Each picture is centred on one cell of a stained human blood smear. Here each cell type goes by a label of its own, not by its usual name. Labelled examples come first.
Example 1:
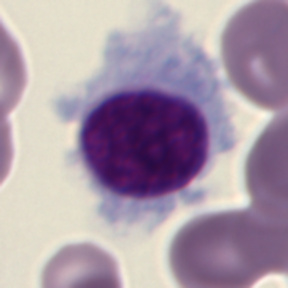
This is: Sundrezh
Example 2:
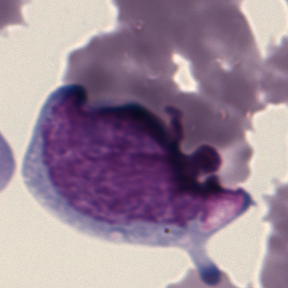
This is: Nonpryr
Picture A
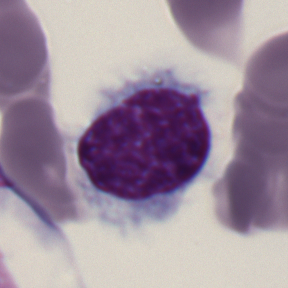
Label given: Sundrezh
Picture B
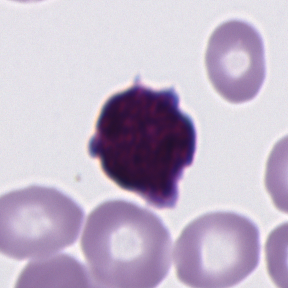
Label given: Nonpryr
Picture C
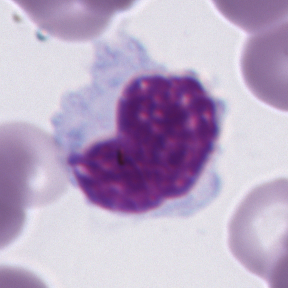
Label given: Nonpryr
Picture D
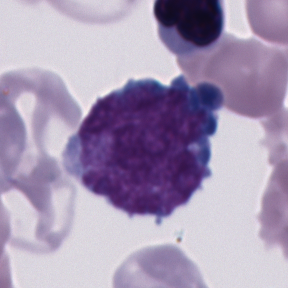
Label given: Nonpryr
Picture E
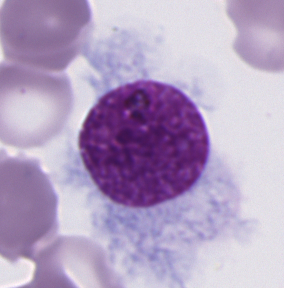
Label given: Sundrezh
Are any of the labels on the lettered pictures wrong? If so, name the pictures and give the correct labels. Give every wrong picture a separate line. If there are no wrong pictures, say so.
C: not Nonpryr but Sundrezh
